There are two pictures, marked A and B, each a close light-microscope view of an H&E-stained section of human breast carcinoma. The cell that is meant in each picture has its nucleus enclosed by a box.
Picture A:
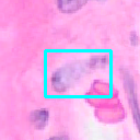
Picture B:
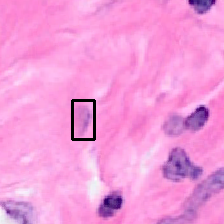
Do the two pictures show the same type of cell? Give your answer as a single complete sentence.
No, picture A shows an endothelial cell and picture B shows a fibroblast.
